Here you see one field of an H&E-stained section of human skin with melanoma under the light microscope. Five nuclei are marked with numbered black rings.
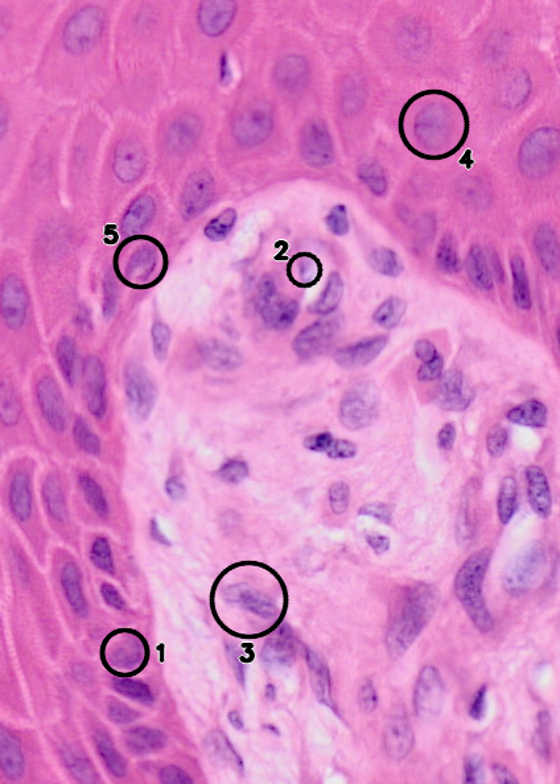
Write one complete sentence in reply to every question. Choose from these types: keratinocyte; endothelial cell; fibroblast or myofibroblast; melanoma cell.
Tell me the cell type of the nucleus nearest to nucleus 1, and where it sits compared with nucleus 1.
The nearest nucleus is that of a keratinocyte and lies below nucleus 1.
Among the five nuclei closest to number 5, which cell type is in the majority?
Around number 5, most of the five nearest nuclei are those of keratinocytes.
